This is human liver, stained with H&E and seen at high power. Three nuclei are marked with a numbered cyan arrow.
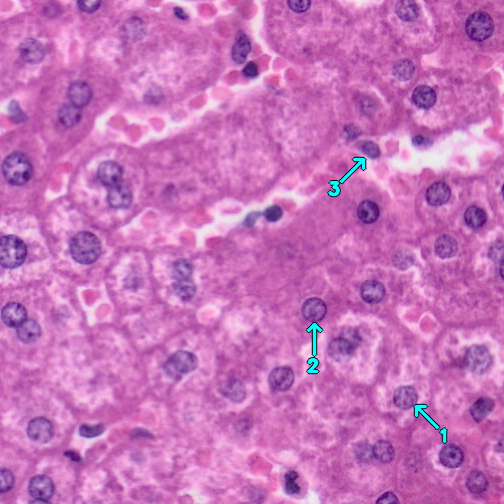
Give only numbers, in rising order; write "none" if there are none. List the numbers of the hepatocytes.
1, 2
